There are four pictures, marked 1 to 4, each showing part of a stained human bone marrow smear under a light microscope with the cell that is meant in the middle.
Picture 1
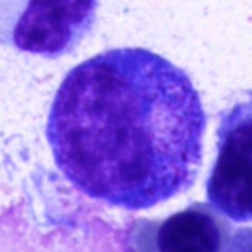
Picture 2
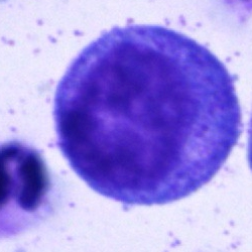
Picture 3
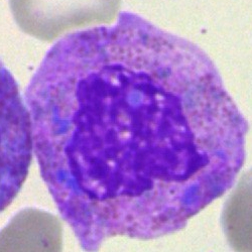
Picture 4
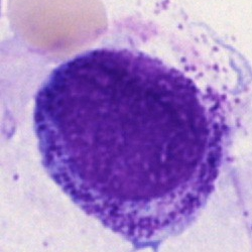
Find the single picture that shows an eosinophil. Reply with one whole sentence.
The eosinophil is the one in picture 3.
